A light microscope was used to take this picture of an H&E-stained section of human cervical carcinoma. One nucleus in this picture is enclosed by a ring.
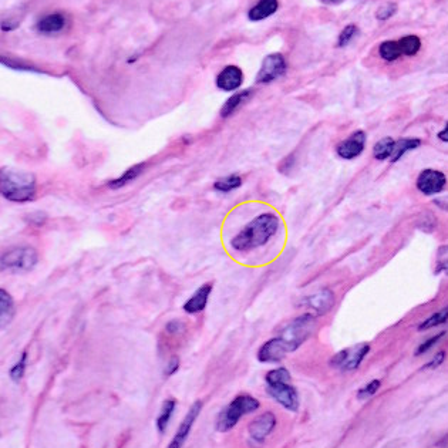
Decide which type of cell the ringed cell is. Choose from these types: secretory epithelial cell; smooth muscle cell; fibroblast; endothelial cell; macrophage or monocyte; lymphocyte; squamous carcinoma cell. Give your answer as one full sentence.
For the purposes of cell typing, the ringed cell is categorized as a macrophage or monocyte.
